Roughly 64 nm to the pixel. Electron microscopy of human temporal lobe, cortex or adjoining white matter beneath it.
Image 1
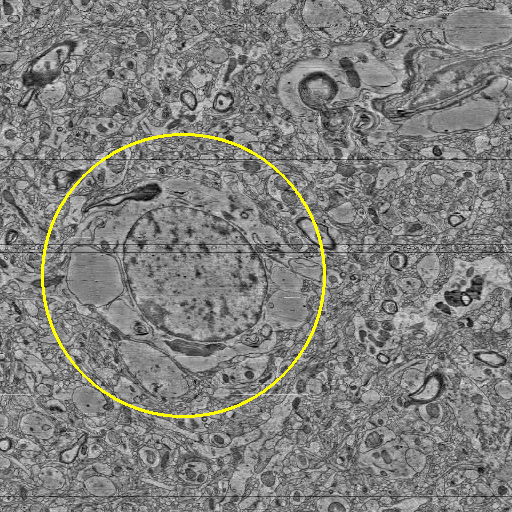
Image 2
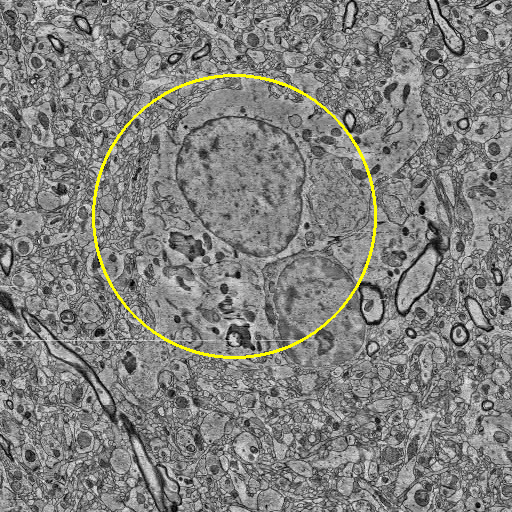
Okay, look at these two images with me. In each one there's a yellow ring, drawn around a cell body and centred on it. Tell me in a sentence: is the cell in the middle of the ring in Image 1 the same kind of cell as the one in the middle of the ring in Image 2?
Yes, they're the same kind of cell.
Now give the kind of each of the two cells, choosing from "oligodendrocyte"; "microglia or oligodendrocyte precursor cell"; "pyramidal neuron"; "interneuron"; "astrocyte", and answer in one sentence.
The first and the second cell are each an astrocyte.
